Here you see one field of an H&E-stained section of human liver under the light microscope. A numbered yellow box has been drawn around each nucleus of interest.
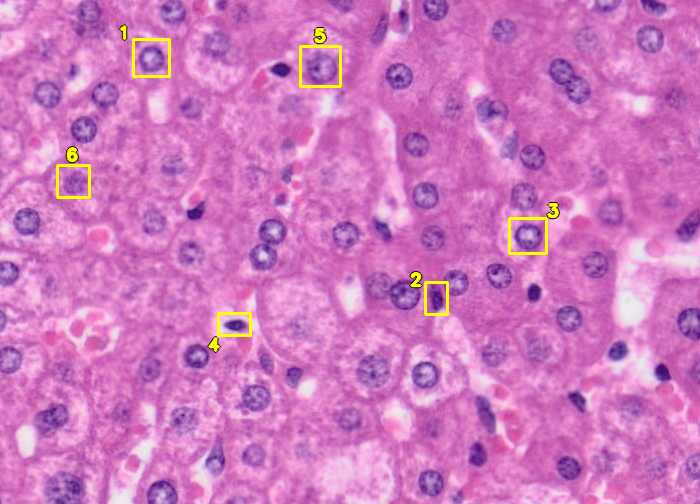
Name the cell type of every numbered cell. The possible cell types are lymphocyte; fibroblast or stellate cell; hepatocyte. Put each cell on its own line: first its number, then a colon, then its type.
1: hepatocyte
2: fibroblast or stellate cell
3: hepatocyte
4: lymphocyte
5: hepatocyte
6: hepatocyte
